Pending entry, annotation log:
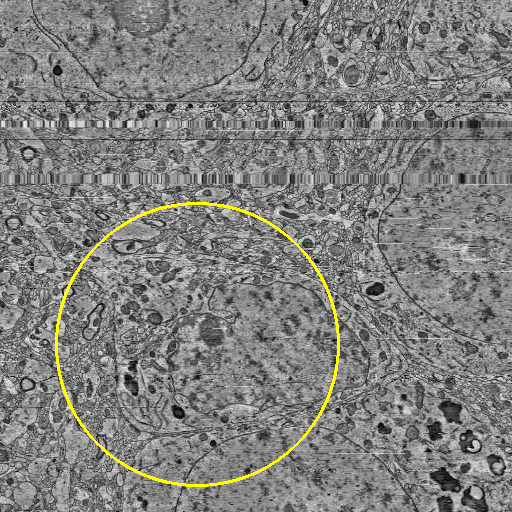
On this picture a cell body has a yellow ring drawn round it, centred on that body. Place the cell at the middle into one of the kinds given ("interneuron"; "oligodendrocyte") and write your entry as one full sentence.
The cell body at the middle of the yellow ring belongs to an interneuron.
